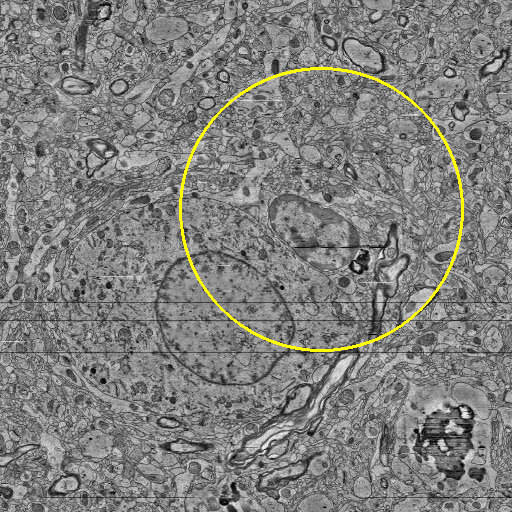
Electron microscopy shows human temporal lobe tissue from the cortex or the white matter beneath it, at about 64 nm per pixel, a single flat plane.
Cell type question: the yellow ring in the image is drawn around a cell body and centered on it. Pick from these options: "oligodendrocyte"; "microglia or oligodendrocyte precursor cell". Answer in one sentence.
The ringed cell at the center is a microglial cell or oligodendrocyte precursor cell.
